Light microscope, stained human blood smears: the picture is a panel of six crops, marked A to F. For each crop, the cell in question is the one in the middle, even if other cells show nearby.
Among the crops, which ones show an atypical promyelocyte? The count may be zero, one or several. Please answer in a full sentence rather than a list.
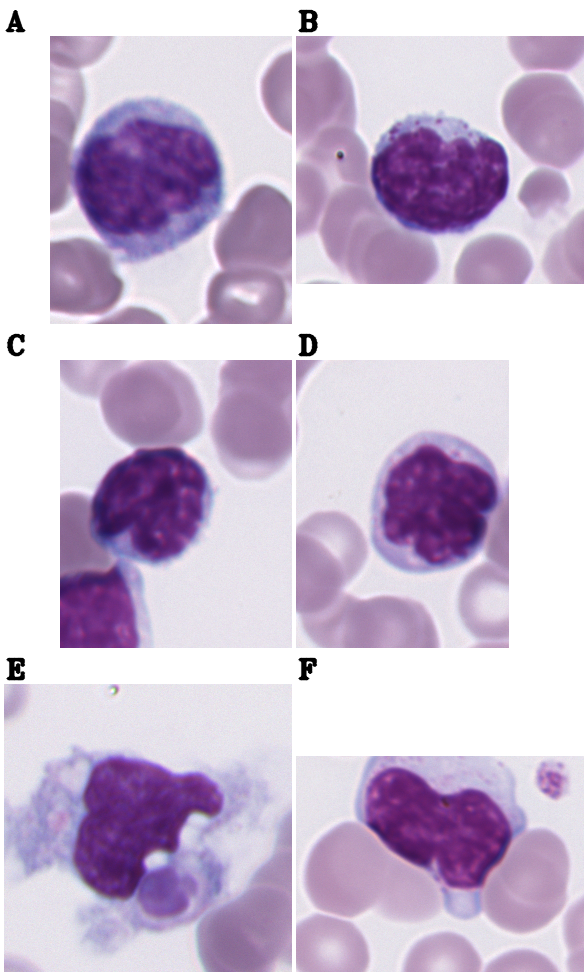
No crop at all in this series shows an atypical promyelocyte.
